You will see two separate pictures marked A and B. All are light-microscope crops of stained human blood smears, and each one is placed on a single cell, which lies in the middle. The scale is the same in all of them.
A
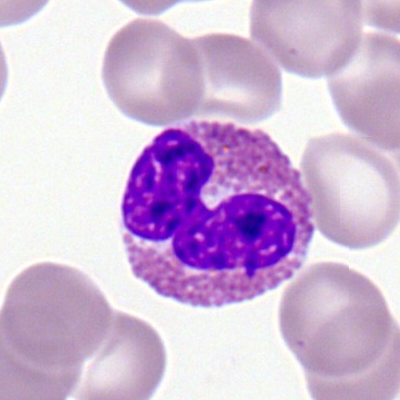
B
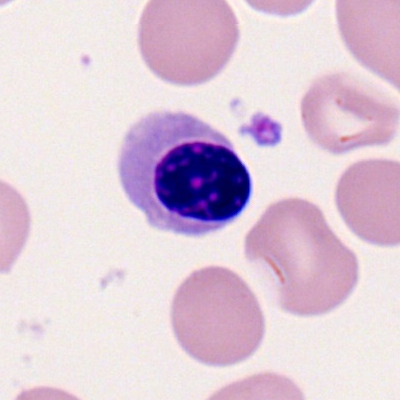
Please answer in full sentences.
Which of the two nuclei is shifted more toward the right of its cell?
Seen within its cell, the nucleus in crop B lies further toward the right.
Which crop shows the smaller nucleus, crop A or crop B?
Crop B shows the smaller nucleus, since that in crop A covers about 2.5 times as much area.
